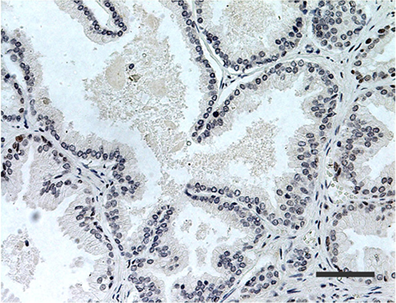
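This section of benign prostate tissue shows large glands with wide, pale lumens and folded, branching outlines. Each gland is lined by a thin layer of epithelial cells whose nuclei sit in a row along the gland wall and take only a weak grey-brown to blue tone. Between the glands lies stroma with scattered small nuclei.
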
